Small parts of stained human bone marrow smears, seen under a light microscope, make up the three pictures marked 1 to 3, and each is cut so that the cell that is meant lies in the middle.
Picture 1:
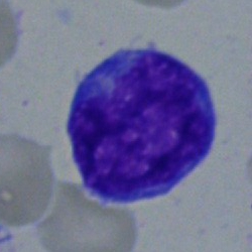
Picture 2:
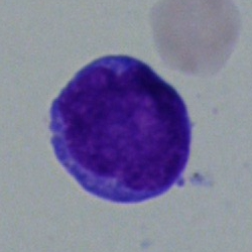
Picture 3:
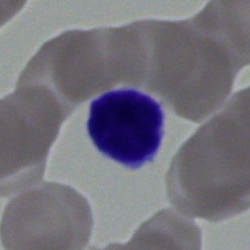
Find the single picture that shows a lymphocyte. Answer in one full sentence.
Picture 3 is the one that shows the lymphocyte.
